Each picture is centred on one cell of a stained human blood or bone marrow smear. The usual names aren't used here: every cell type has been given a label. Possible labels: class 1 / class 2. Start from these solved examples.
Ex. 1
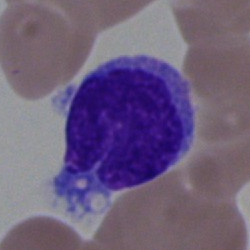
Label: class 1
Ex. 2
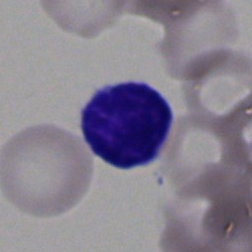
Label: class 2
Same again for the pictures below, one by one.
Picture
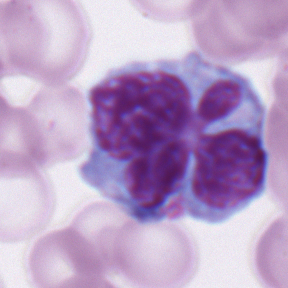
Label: class 1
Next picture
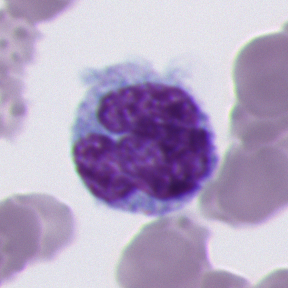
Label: class 1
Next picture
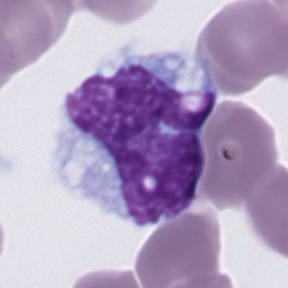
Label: class 1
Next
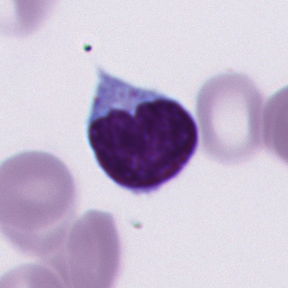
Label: class 2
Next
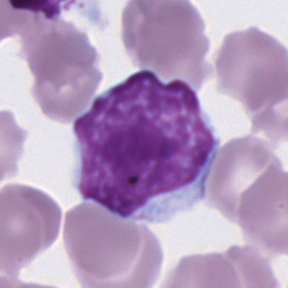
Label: class 2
